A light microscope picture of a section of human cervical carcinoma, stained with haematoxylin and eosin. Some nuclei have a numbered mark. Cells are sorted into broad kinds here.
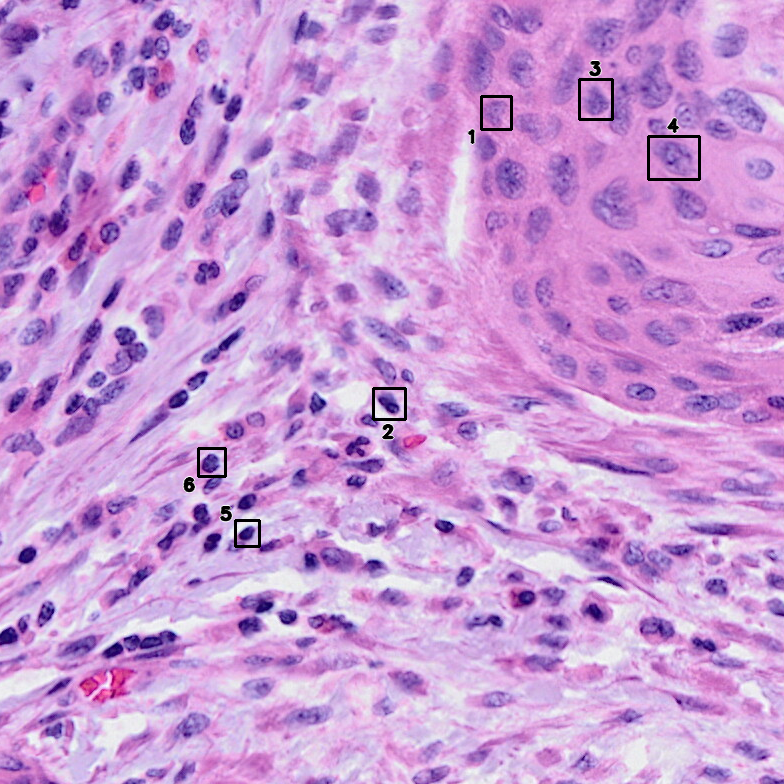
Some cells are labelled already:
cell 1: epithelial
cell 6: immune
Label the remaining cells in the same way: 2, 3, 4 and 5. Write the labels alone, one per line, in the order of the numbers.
immune
epithelial
epithelial
immune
